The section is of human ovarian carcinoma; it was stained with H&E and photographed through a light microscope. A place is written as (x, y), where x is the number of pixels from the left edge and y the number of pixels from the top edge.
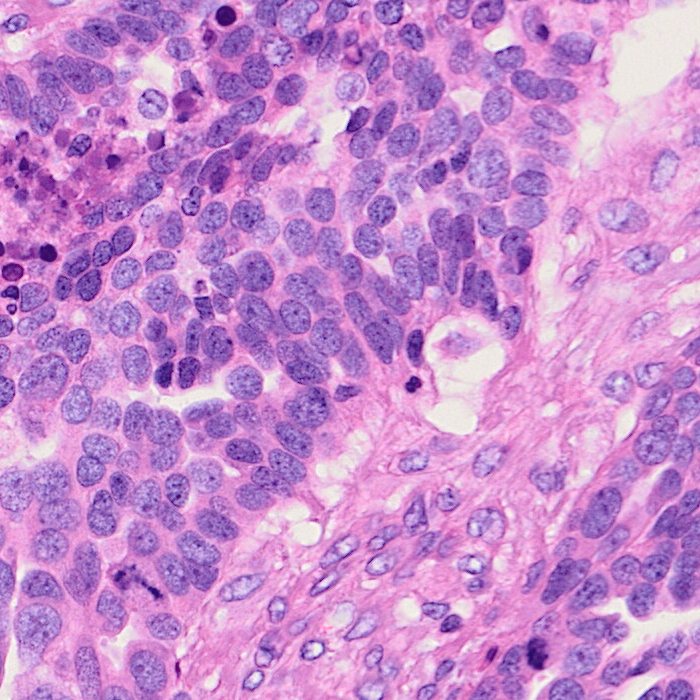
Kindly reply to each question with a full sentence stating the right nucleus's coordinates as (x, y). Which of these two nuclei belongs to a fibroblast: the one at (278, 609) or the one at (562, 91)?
Answering which nucleus it is: the one at (278, 609), belonging to a fibroblast.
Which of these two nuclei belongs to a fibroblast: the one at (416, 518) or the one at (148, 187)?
The nucleus at (416, 518), rather than the other, belongs to a fibroblast.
